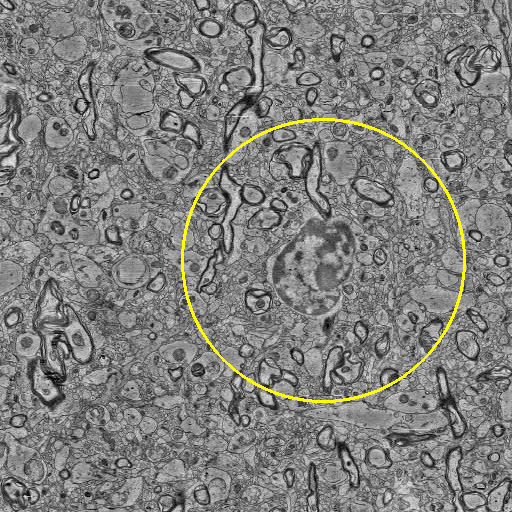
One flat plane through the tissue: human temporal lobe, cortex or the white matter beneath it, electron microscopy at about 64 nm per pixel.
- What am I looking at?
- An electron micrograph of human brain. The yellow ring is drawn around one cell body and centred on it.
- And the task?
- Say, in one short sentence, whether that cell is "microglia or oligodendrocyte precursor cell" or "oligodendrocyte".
The cell in the middle of the ring is a microglial cell or oligodendrocyte precursor cell.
